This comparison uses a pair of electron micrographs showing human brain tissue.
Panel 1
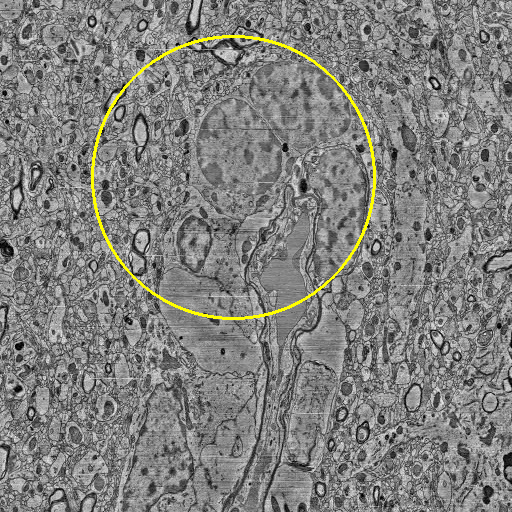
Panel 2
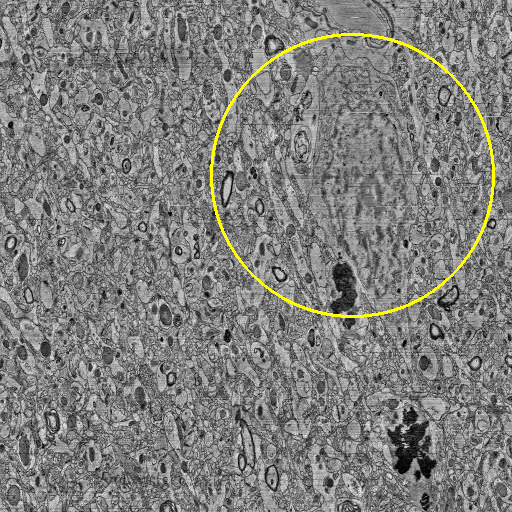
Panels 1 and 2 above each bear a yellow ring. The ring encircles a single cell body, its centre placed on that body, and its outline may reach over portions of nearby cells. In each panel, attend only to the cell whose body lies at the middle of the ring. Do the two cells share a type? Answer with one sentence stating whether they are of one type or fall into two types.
In Panel 1 and Panel 2, the cells at the centres of the rings fall into two types.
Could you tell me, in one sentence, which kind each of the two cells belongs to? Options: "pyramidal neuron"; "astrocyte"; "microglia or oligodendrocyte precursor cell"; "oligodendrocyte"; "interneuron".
At the centre of the first ring sits an oligodendrocyte, and at the centre of the second sits an interneuron.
